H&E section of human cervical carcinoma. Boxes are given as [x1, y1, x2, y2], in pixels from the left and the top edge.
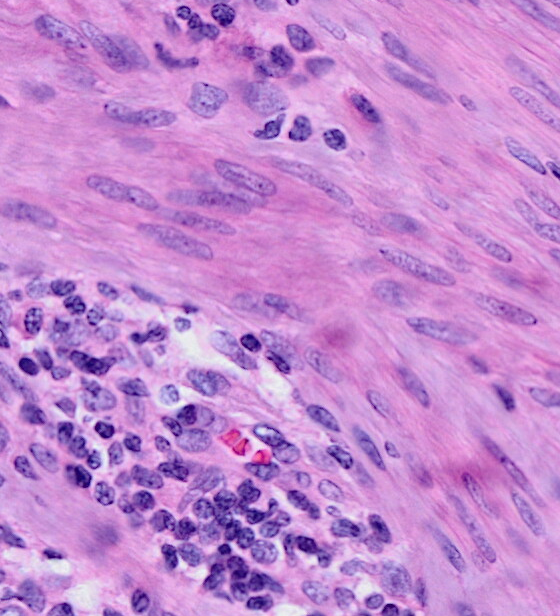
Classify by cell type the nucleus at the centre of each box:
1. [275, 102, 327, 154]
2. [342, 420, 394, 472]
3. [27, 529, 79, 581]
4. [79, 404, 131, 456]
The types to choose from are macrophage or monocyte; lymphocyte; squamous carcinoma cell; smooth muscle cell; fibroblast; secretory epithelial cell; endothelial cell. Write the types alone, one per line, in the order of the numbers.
lymphocyte
fibroblast
lymphocyte
lymphocyte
